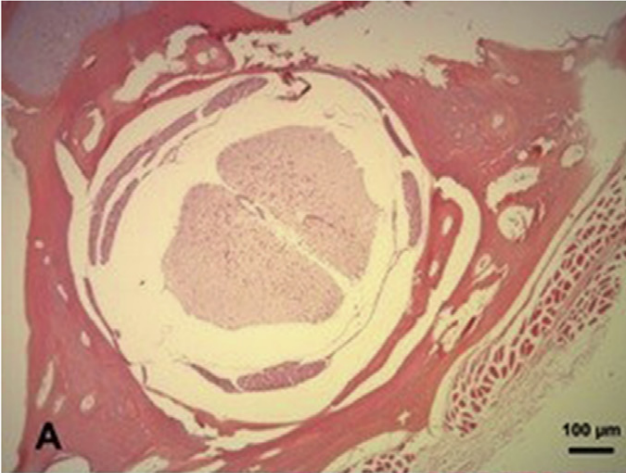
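This is a cross section through a vertebra showing the vertebral foramen surrounded by pink bone. The foramen is round and contains a cross section of the spinal cord, which shows two symmetrical halves separated by a midline cleft. Thin membranous layers encircle the cord inside the canal. Outside the bone, cartilage and other tissues can be seen at the edges.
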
